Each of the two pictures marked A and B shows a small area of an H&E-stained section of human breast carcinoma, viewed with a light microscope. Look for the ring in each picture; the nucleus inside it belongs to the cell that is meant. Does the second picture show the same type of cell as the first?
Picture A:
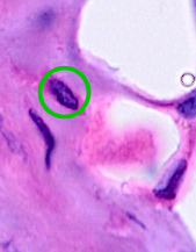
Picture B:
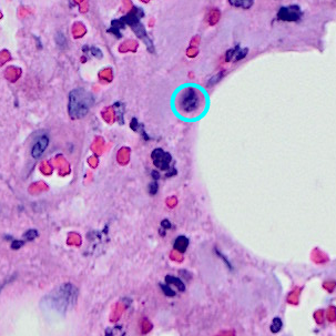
yes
